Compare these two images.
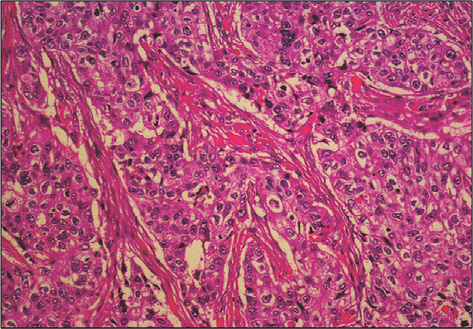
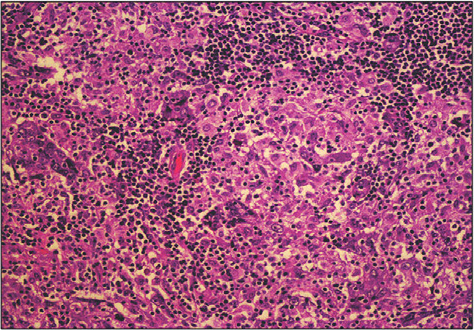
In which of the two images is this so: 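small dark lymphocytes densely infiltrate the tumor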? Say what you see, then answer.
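First image: nests of large tumor cells separated by pink fibrous bands, with few small dark cells. Second image: masses of small dark round nuclei mixed among pale tumor cells.
Conclusion: the second image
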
